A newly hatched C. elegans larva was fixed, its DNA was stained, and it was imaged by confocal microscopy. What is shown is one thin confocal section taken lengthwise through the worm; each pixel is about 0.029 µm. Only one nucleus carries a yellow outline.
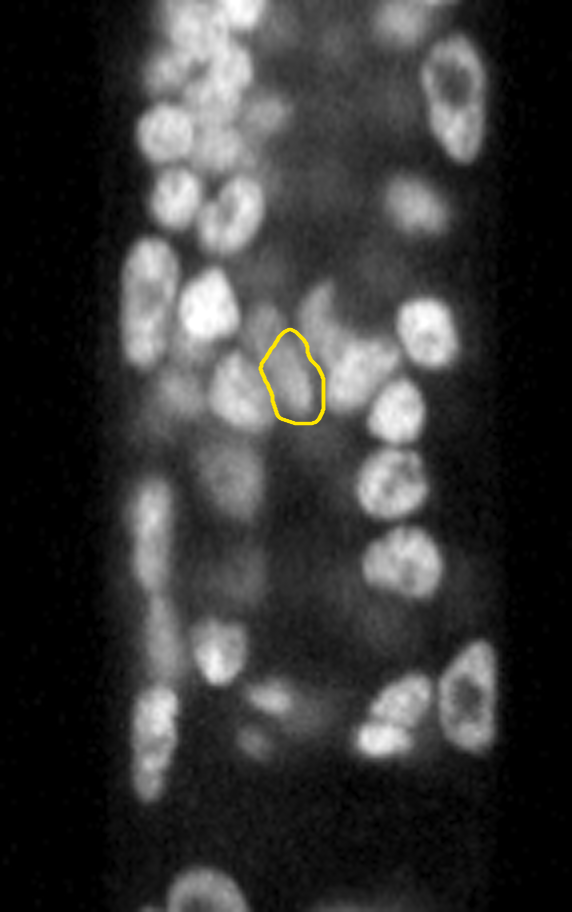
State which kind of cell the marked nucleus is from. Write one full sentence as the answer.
The cell with the marked nucleus is a pharyngeal muscle cell.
